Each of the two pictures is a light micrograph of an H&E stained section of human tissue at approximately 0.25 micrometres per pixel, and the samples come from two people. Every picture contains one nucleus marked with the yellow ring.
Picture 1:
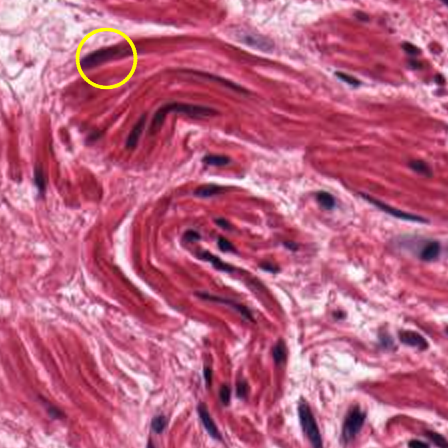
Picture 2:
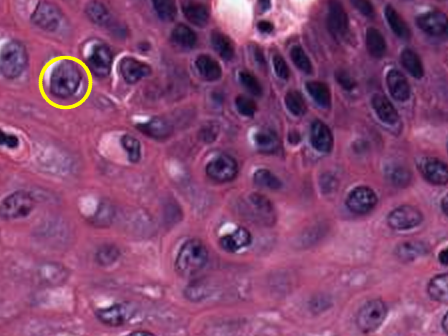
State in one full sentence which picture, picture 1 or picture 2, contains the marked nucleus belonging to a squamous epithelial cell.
The marked nucleus belonging to a squamous epithelial cell is the one in picture 2.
